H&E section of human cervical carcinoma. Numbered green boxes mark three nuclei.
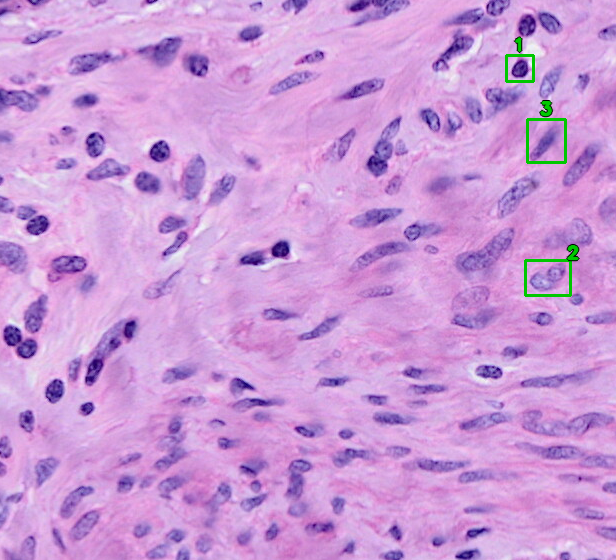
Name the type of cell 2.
smooth muscle cell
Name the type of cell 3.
smooth muscle cell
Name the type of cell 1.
lymphocyte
